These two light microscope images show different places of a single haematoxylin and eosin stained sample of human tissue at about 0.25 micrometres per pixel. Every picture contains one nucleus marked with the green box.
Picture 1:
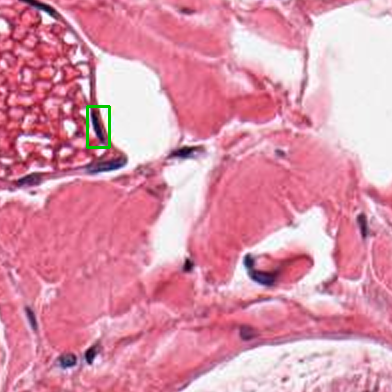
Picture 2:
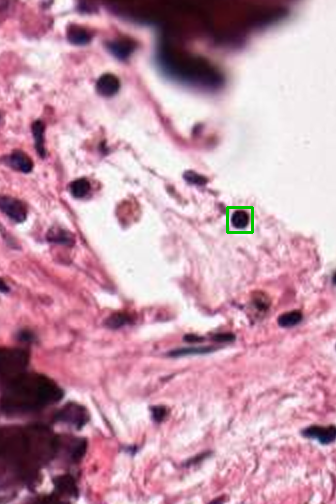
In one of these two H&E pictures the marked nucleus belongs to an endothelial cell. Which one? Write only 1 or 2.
1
